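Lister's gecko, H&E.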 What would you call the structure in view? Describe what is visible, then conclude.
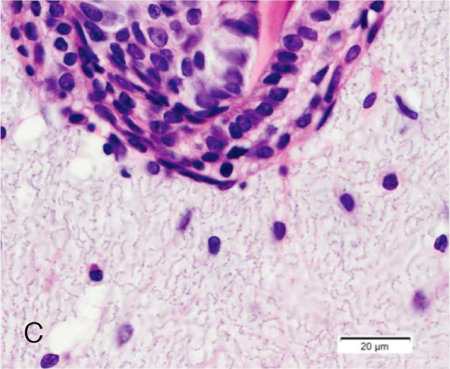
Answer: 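A curved layer of closely packed elongated nuclei. A pink hard-tissue band inside the curved cell layer. Pale finely granular matrix surrounds the structure.
Conclusion: germinal tooth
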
